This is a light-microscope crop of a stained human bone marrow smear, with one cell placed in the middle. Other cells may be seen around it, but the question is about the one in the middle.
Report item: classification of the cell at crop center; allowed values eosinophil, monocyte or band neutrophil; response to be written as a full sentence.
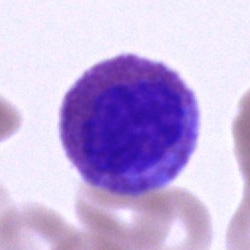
What sits at the centre of this crop is an eosinophil.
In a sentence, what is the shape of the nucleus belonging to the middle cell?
Its nucleus is compact and single, with a round, oval or kidney-shaped form.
